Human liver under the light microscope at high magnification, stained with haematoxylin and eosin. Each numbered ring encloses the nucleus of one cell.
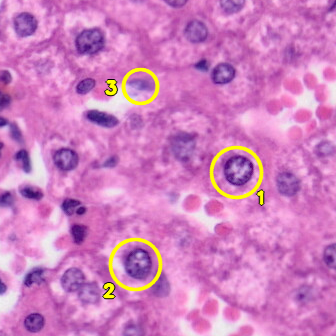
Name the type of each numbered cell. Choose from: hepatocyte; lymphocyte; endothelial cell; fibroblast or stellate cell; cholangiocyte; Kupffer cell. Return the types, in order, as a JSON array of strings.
["hepatocyte", "hepatocyte", "endothelial cell"]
